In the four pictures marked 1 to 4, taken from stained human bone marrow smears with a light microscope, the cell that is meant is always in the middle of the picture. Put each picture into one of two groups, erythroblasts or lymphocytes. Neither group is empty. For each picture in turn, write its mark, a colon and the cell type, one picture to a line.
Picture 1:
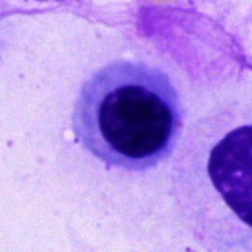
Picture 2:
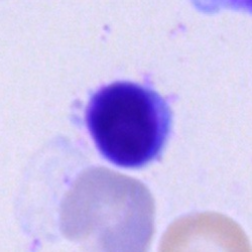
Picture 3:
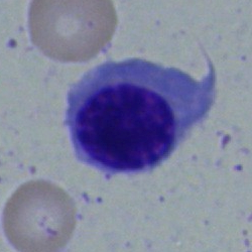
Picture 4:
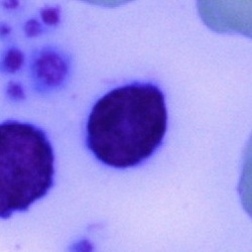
1: erythroblast
2: lymphocyte
3: erythroblast
4: lymphocyte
